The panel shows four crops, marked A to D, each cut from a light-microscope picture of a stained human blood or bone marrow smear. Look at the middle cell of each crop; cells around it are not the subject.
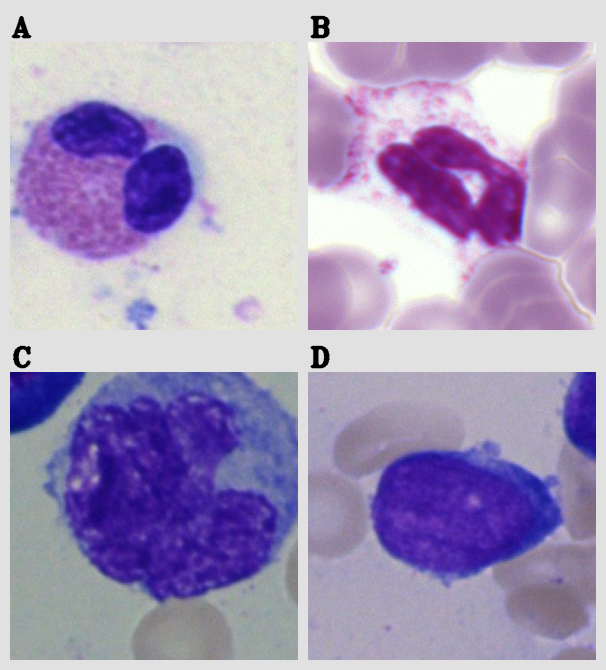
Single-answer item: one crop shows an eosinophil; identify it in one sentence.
Crop A is the crop containing an eosinophil.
